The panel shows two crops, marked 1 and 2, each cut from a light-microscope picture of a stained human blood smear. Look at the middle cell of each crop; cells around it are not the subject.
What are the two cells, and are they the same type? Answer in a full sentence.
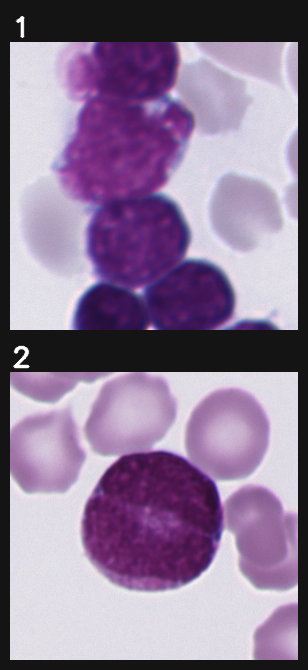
Yes, shown in both crops are blasts.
